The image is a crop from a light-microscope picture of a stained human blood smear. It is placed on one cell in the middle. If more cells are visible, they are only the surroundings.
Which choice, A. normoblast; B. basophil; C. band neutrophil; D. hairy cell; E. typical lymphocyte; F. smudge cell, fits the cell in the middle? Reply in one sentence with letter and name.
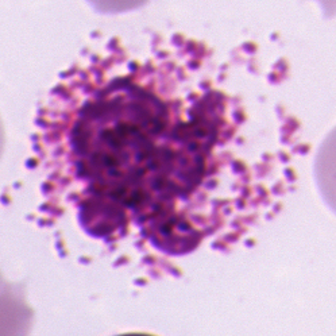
Well, the cell in the middle is a basophil, making option B right.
